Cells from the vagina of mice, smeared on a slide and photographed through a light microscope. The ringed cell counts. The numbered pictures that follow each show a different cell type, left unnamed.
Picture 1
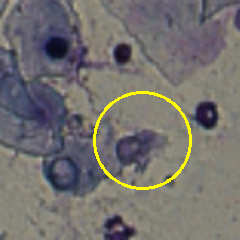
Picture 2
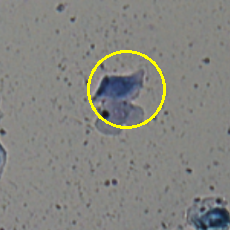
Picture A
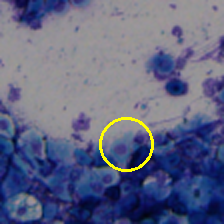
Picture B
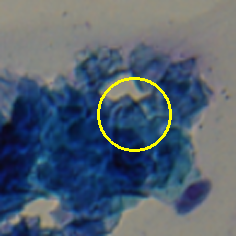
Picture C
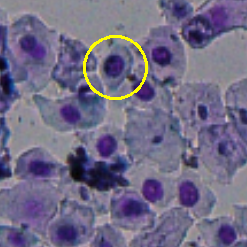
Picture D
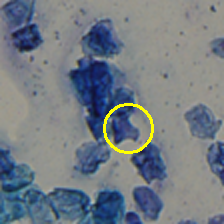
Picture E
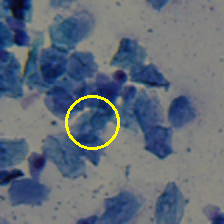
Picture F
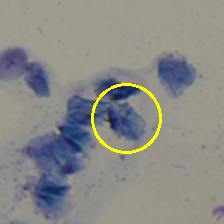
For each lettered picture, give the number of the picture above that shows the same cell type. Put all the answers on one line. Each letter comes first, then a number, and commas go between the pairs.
A 1, B 2, C 1, D 2, E 2, F 2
